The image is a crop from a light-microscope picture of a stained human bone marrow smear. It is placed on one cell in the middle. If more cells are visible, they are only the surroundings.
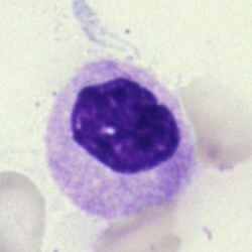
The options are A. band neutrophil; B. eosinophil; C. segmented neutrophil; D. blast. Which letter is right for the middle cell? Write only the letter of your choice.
A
